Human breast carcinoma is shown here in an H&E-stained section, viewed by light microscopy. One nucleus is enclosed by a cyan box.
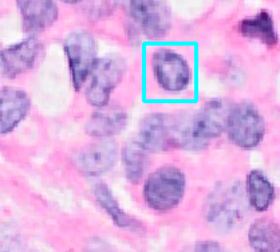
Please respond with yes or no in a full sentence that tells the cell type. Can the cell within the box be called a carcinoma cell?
Yes, the cell within the box is correctly named as a carcinoma cell.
